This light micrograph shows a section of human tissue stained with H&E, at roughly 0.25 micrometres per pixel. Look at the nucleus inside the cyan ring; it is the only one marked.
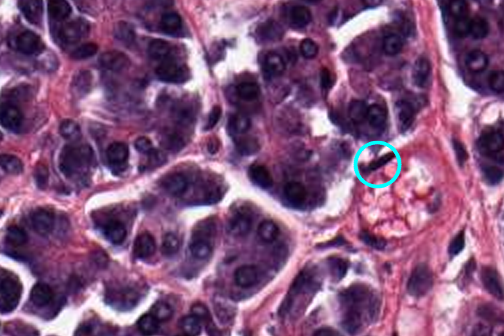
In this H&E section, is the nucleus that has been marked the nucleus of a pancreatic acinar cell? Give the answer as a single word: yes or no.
no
